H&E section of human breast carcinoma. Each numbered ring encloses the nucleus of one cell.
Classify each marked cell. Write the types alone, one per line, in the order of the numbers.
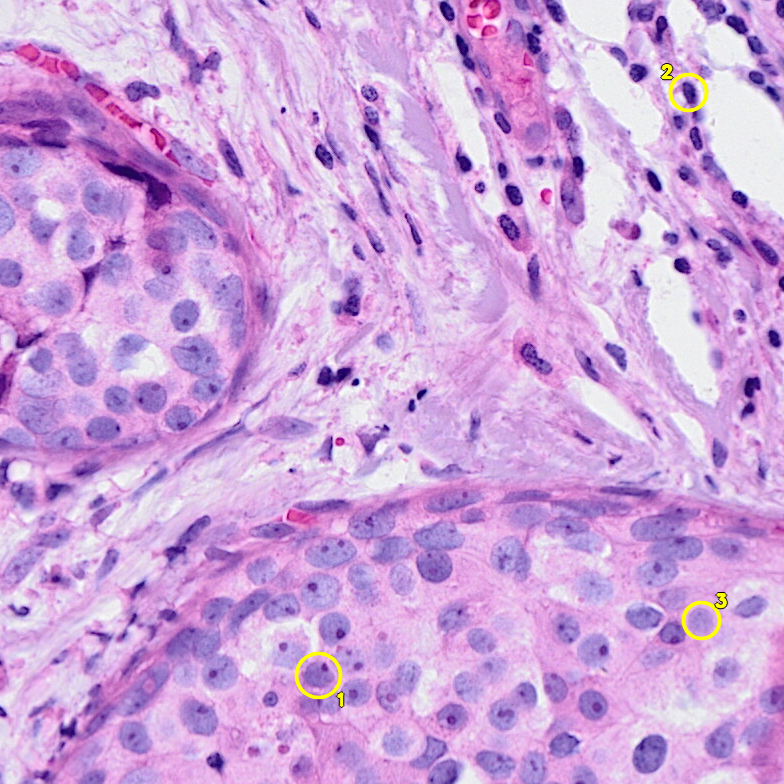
carcinoma cell
lymphocyte
carcinoma cell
